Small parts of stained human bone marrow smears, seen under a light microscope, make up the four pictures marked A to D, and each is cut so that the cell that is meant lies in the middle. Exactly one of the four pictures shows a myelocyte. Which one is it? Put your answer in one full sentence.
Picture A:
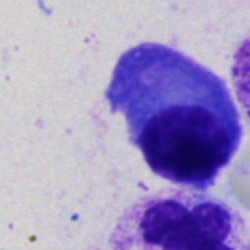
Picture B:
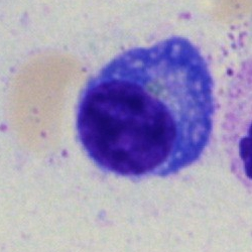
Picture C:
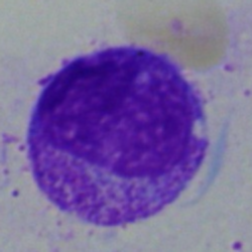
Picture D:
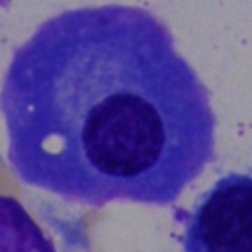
Picture C shows the myelocyte.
